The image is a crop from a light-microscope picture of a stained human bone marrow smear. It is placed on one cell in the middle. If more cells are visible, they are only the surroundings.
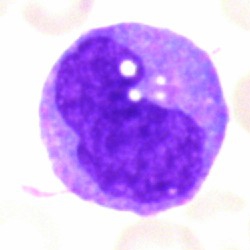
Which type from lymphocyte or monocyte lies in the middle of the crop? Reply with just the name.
monocyte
